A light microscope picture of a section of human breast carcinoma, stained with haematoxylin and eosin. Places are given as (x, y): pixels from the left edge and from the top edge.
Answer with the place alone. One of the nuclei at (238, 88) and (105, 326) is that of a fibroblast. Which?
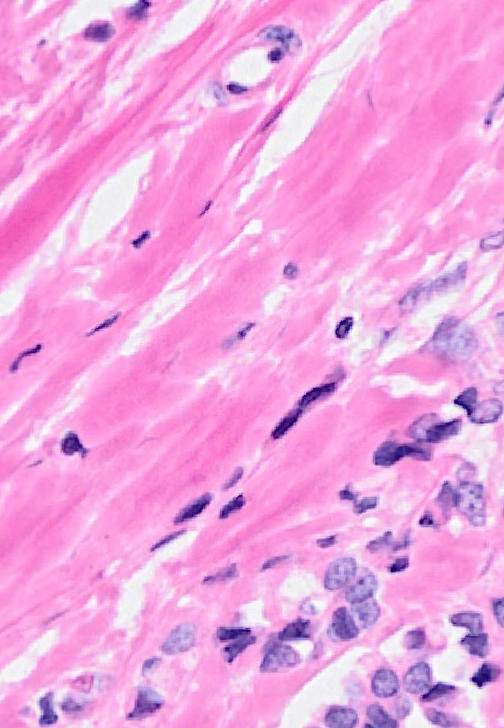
(105, 326)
